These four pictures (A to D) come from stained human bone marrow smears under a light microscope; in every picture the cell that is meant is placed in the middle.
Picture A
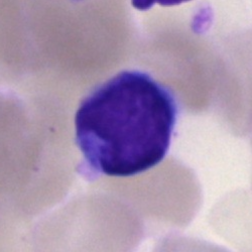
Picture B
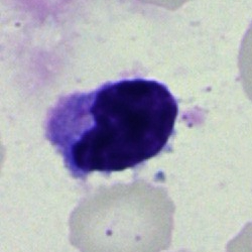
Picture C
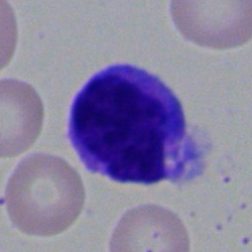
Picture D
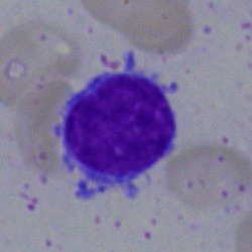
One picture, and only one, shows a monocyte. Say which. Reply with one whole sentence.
It is picture C that shows the monocyte.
